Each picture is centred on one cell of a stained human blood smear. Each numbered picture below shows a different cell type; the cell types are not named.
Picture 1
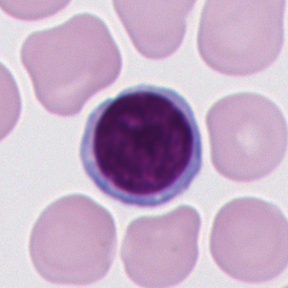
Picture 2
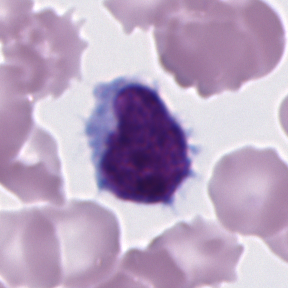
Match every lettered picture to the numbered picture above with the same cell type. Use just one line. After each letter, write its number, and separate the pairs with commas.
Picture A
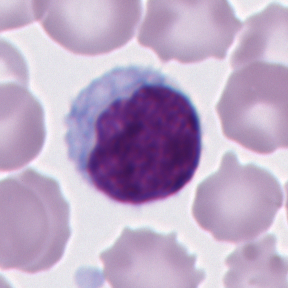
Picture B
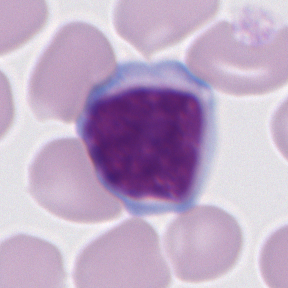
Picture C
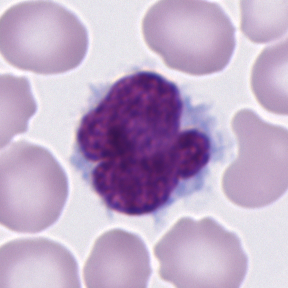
A 2, B 1, C 2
